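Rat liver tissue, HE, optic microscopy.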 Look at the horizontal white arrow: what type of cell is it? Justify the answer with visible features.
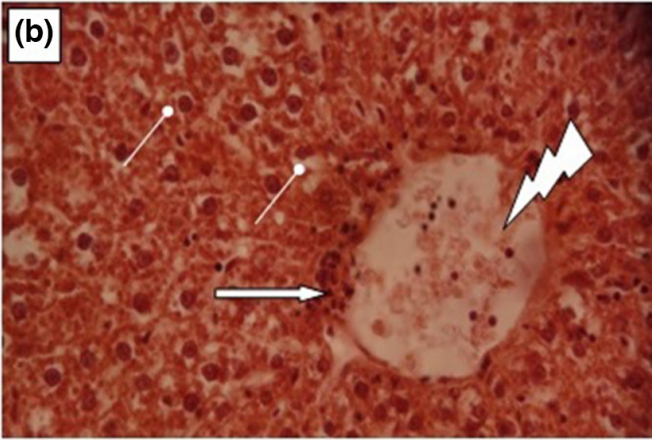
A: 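A cluster of small, densely dark-staining nuclei lies at the tip of the arrow. The cluster sits at the wall of a large vessel. That points to this answer: leukocyte inflammatory cells.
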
